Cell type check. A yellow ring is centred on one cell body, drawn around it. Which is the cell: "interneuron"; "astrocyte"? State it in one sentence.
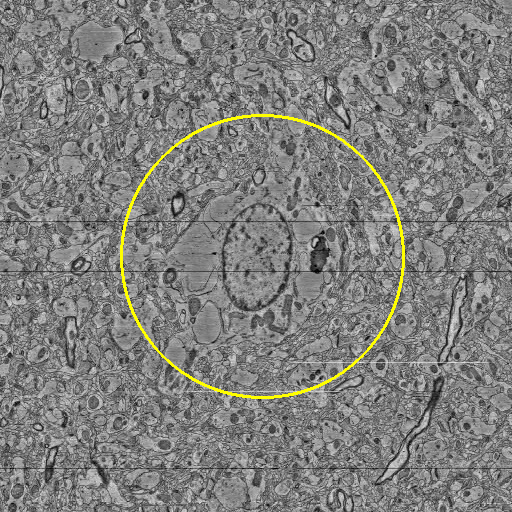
The cell body at the ring's centre belongs to an astrocyte.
